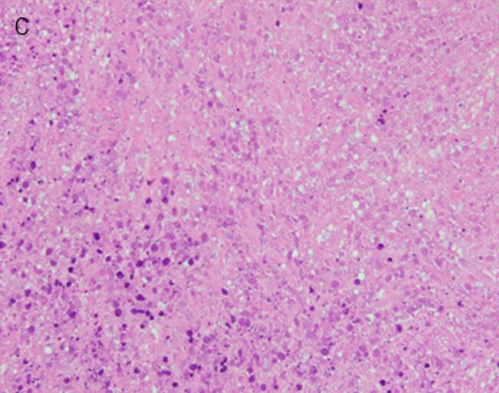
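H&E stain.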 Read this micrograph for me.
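Small clear spaces lie between the cells. Toward the left, scattered small, dark purple, condensed nuclear fragments stand out against the pink background. No well-preserved cells with crisp, intact nuclei are seen among the ghost cells.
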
